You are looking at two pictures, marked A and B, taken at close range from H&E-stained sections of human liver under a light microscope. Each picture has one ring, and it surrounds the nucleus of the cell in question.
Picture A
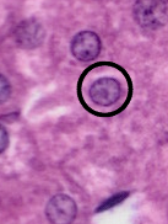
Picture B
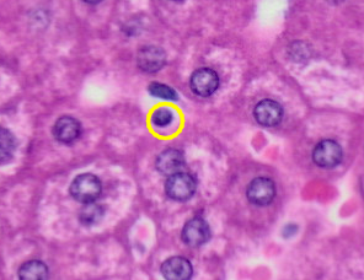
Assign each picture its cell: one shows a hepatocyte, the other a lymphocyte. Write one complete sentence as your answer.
Picture A is of a hepatocyte, and picture B is of a lymphocyte.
